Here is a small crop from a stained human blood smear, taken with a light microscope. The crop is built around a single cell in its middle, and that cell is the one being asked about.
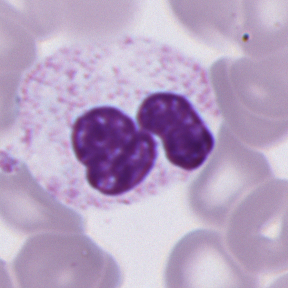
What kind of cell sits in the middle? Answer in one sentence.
By classification, the middle cell of this crop is a segmented neutrophil.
